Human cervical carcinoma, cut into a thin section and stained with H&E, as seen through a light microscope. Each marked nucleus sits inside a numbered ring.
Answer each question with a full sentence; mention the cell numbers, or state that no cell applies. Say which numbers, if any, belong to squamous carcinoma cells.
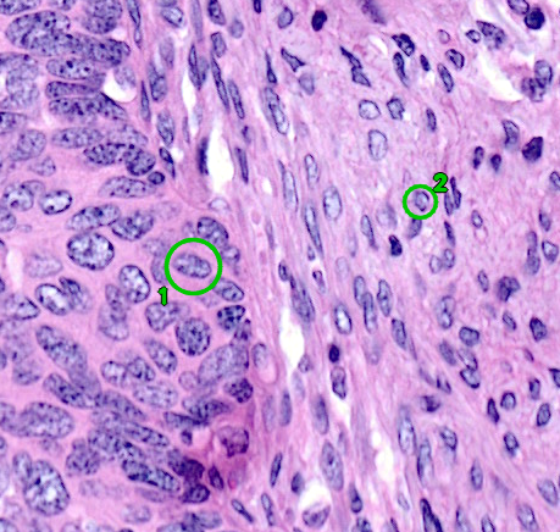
Cell 1, and no other numbered cell, is a squamous carcinoma cell.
